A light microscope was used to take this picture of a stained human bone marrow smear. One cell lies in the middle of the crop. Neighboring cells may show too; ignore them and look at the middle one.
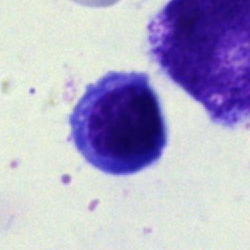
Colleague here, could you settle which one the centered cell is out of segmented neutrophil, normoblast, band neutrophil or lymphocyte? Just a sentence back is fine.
The crop's centre is taken up by a normoblast.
